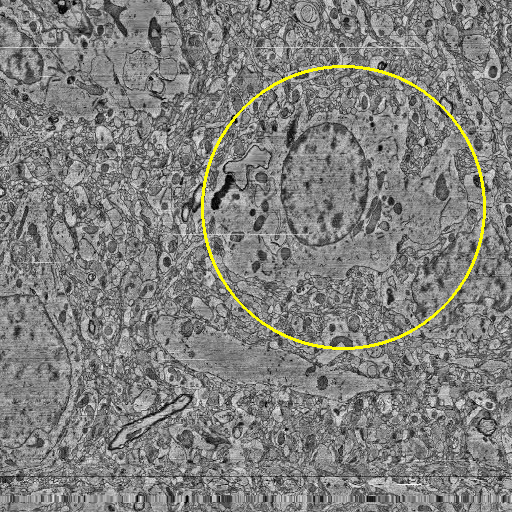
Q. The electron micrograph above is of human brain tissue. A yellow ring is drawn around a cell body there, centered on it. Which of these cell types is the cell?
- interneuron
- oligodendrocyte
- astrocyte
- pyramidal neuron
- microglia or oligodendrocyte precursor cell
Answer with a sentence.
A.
The cell under the ring's center is an astrocyte.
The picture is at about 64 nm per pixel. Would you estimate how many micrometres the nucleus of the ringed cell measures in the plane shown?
In this plane the nucleus measures roughly 8 by 6 micrometers.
